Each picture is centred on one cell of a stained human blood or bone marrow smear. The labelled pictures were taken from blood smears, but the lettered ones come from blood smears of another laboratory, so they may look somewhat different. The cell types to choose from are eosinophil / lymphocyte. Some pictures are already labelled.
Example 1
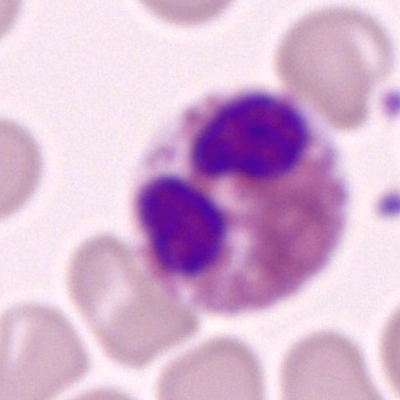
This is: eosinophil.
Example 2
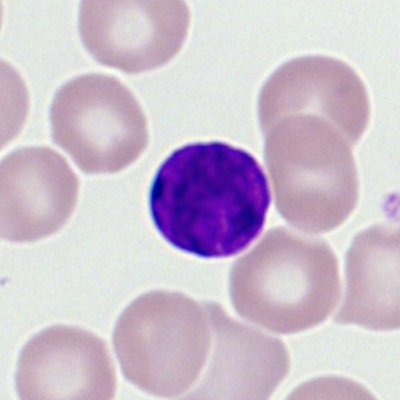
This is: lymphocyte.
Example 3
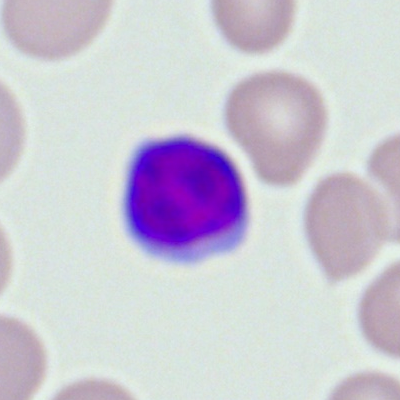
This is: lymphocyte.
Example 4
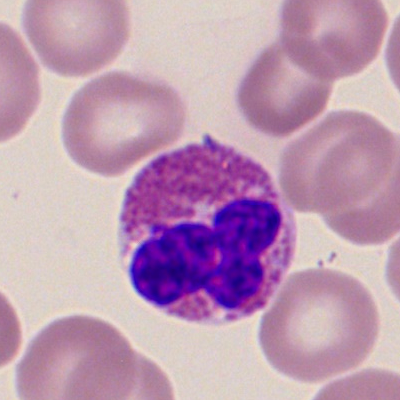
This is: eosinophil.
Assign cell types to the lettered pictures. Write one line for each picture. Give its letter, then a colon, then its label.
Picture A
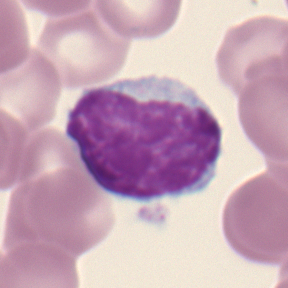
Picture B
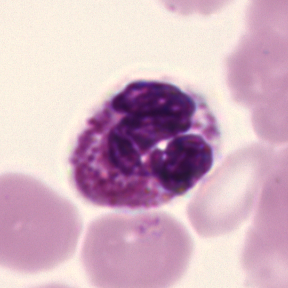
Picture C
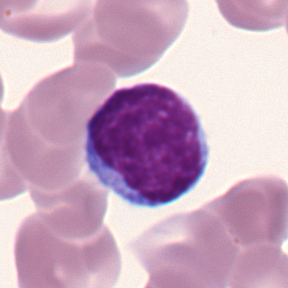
A: lymphocyte.
B: eosinophil.
C: lymphocyte.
